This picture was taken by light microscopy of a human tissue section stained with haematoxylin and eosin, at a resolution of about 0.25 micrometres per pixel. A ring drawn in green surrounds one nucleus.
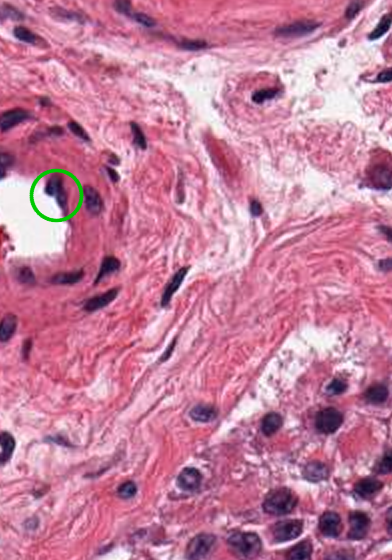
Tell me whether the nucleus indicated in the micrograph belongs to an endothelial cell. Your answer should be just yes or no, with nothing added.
yes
